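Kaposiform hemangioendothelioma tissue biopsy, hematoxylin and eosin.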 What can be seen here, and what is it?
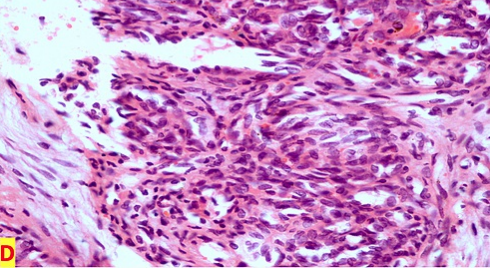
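Here spindle-shaped tumour cells form a small nodule with narrow, slit-like vascular spaces running through it. The nuclei are oval to elongated and dark purple; the cytoplasm is pink. Around the nodule, paler pink fibrous tissue and open clear spaces frame the cellular cluster, and at the edge cells with elongated nuclei stream along the margin.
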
